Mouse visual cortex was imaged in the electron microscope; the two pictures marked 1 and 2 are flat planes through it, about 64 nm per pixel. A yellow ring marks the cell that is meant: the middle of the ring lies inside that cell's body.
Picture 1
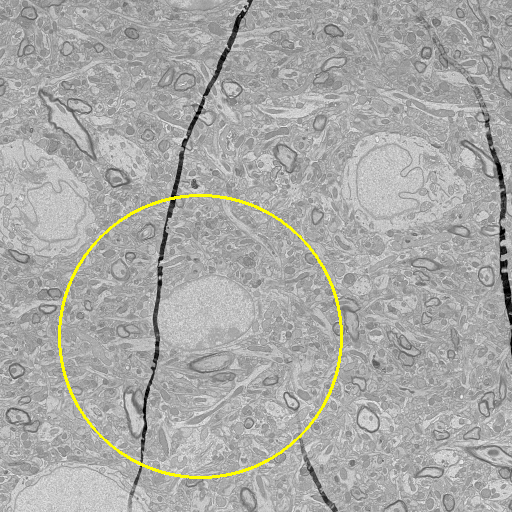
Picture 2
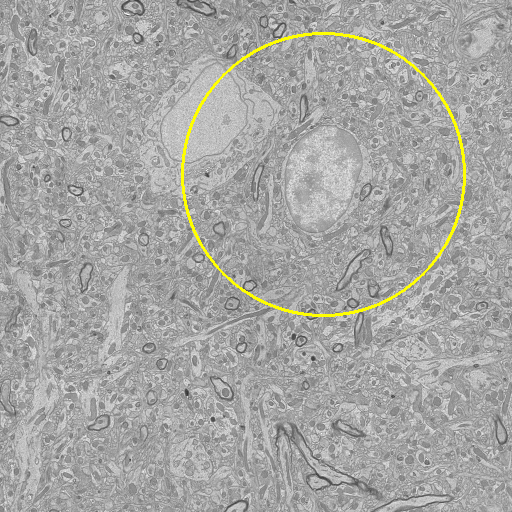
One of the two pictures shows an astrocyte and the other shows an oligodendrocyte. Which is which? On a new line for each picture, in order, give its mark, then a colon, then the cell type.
1: astrocyte
2: oligodendrocyte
